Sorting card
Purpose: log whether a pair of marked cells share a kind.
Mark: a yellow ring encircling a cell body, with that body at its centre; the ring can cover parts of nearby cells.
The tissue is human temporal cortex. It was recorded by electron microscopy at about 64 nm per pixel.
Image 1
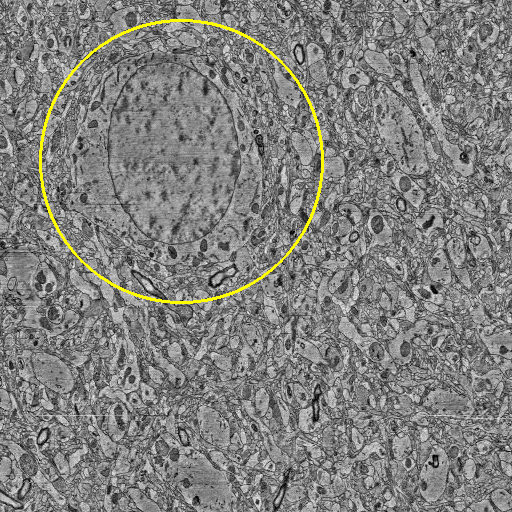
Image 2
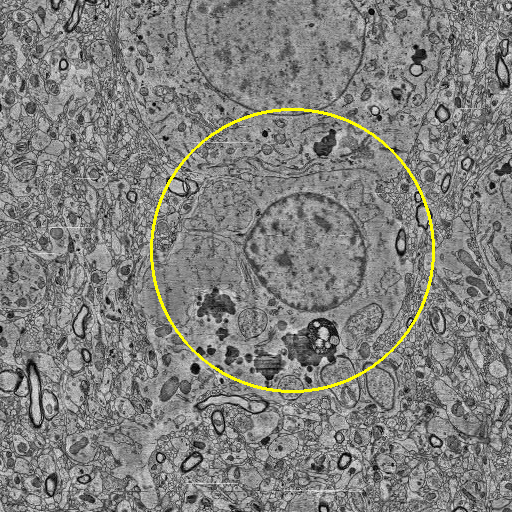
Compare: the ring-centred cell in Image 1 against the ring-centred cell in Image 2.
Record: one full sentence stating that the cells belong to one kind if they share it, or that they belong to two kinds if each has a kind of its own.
Across Images 1 and 2, the two ring-centred cells belong to two kinds.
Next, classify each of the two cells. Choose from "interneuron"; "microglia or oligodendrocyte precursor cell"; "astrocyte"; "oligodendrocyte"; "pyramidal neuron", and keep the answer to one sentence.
In the first picture it is a pyramidal neuron; in the second it is an astrocyte.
